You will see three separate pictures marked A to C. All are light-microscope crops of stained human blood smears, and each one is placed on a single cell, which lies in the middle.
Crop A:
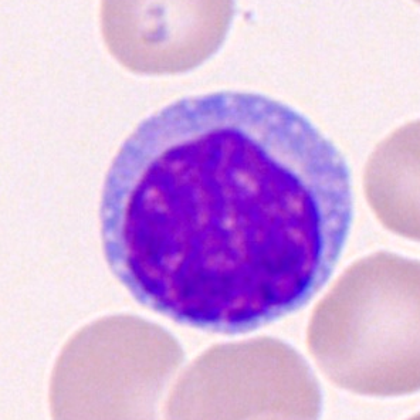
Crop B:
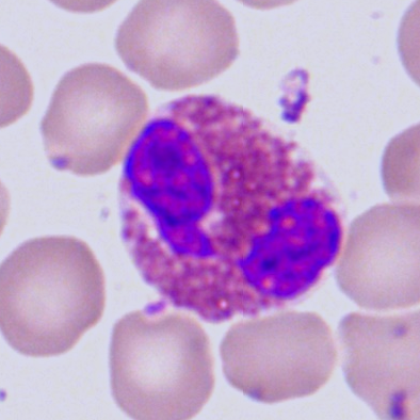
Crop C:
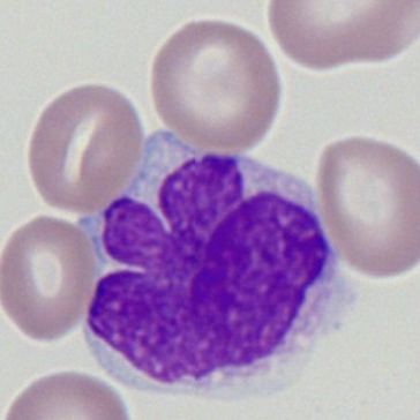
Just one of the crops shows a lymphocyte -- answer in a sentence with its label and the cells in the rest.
On the one hand crop A shows a lymphocyte; on the other, crop B is an eosinophil and crop C is a monocyte.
